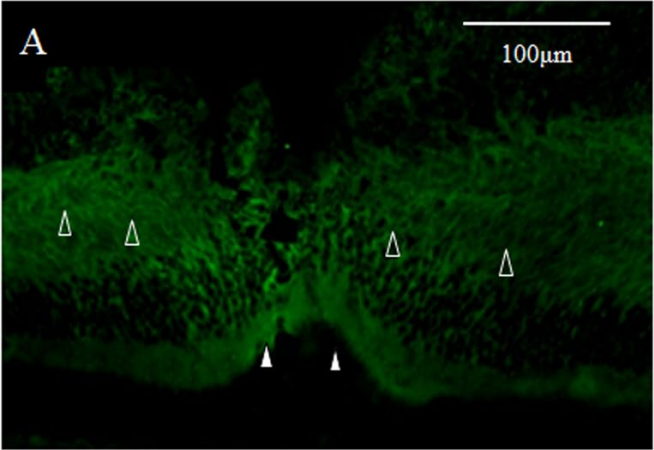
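This is a vertical section through the retina at the foveola, with the central pit at the top. A broad band of green, long fibres runs obliquely outward from the centre on both sides, above a darker, stippled region.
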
